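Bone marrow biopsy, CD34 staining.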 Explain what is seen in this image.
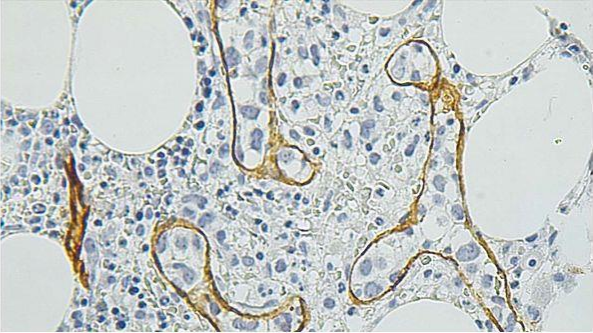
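The brown stain forms thin continuous lines around elongated, looping spaces lying between large empty fat vacuoles. Inside these outlined channels lie large cells with big oval, pale blue nuclei. The tissue outside the channels holds smaller cells with dark blue round nuclei that do not take up the brown stain.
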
